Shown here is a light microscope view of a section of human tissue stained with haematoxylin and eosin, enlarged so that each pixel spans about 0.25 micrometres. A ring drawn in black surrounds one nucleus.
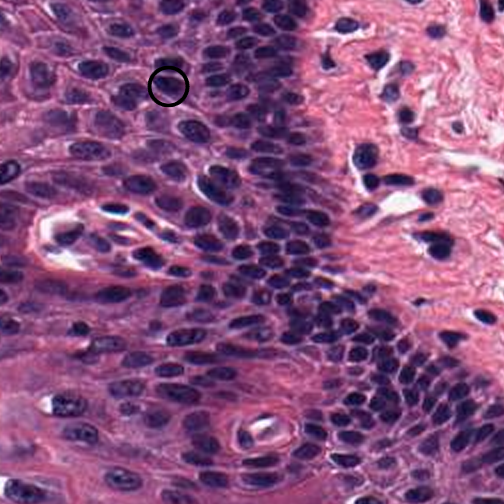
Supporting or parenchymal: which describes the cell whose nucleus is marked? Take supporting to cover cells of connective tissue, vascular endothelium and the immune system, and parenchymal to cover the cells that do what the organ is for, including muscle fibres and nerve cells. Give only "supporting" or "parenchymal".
parenchymal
